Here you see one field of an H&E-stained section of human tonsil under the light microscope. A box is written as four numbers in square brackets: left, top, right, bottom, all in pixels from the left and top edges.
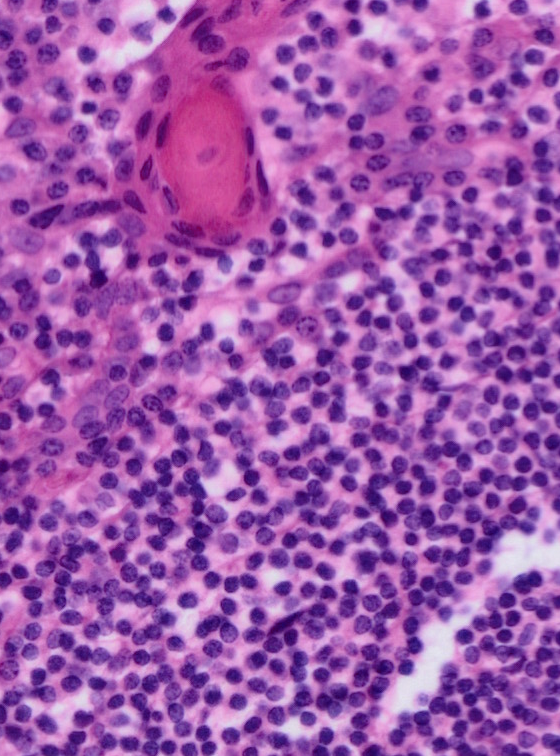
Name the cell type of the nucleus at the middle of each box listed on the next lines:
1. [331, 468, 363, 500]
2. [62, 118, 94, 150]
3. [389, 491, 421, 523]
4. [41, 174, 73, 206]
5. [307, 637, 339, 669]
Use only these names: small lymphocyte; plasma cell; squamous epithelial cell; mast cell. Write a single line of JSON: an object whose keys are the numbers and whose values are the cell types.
{"1": "small lymphocyte", "2": "plasma cell", "3": "small lymphocyte", "4": "plasma cell", "5": "small lymphocyte"}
